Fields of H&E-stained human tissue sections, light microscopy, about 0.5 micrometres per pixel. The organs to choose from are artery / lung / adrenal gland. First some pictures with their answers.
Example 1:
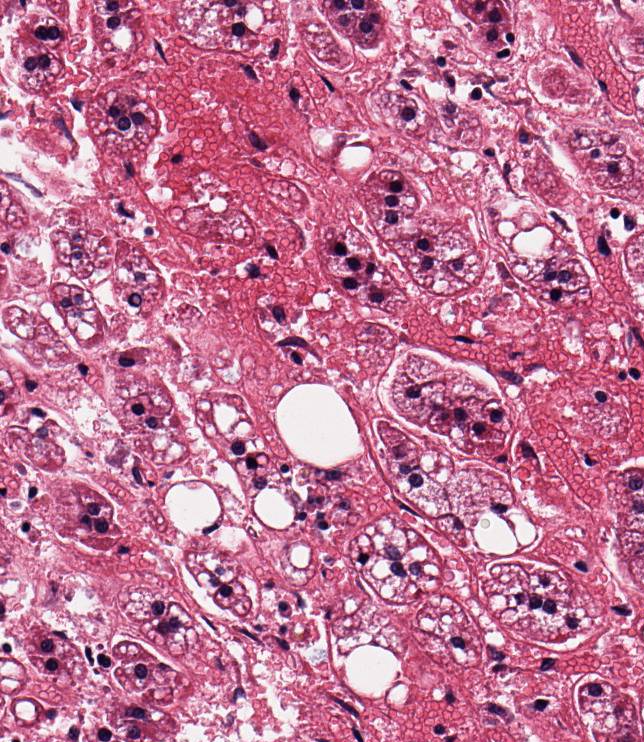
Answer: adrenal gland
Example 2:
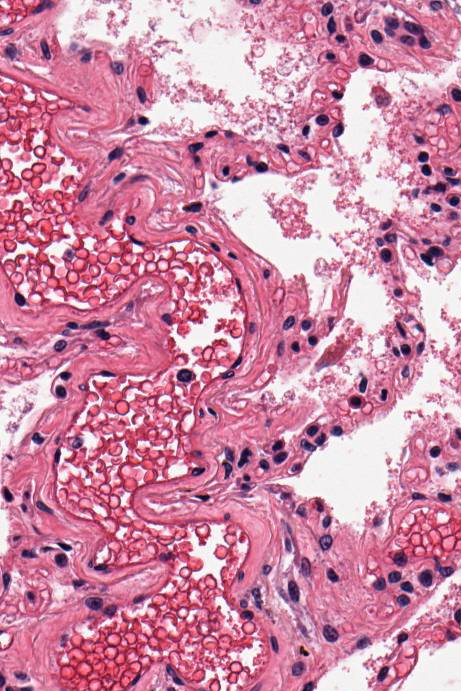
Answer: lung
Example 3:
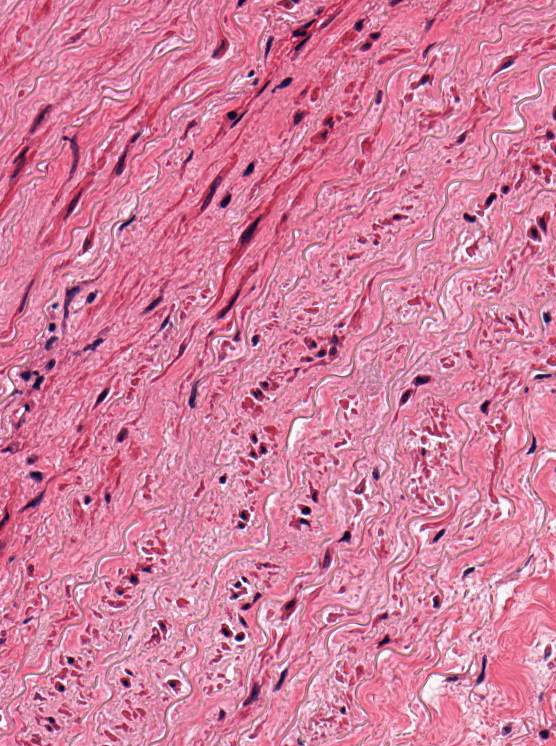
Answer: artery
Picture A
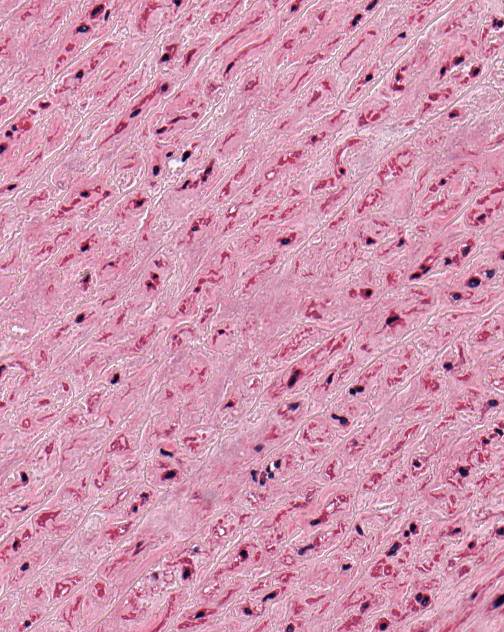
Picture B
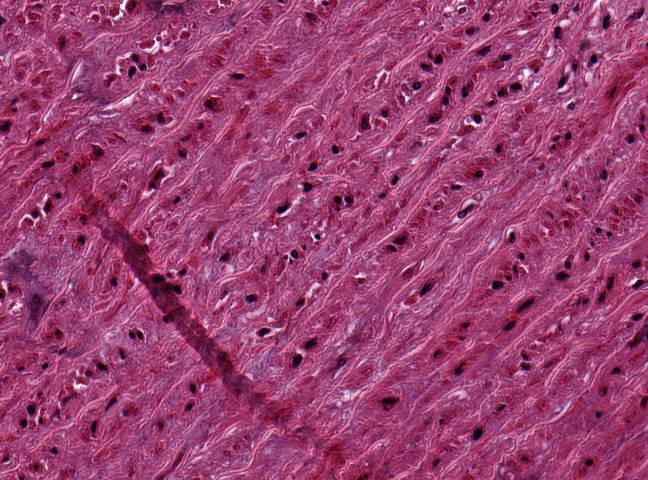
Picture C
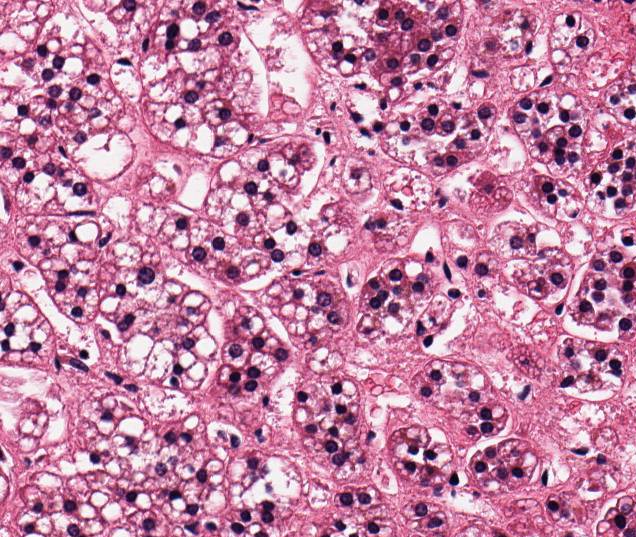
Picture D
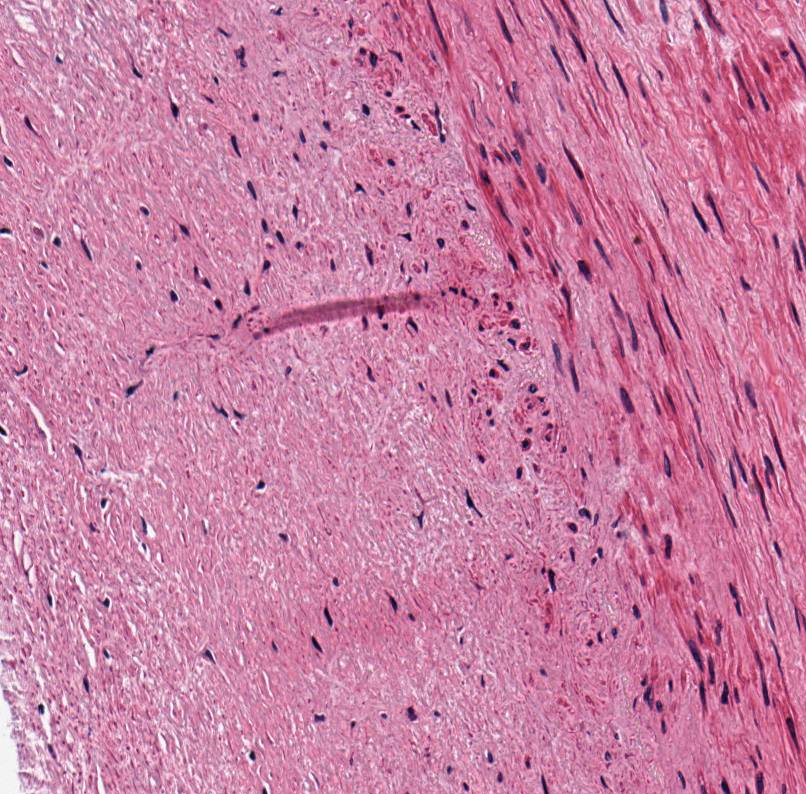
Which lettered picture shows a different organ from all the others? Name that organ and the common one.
C: adrenal gland; all the others: artery.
